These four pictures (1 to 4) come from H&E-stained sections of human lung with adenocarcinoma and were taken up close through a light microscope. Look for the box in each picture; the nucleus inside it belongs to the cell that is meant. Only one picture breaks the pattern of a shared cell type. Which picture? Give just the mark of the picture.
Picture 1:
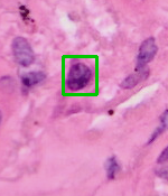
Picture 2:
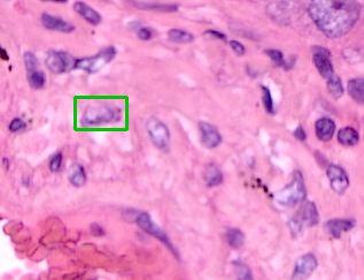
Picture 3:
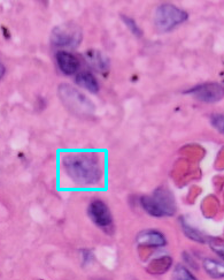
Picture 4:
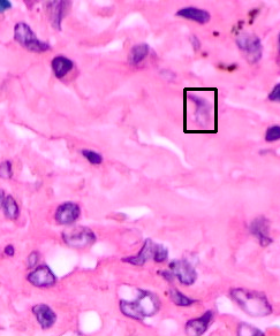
1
